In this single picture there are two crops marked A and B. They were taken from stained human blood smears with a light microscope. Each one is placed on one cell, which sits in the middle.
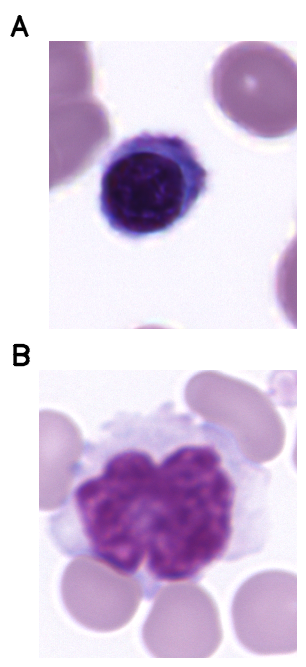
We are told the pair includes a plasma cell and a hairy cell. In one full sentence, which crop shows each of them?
Among the crops, crop A is a plasma cell and crop B is a hairy cell.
